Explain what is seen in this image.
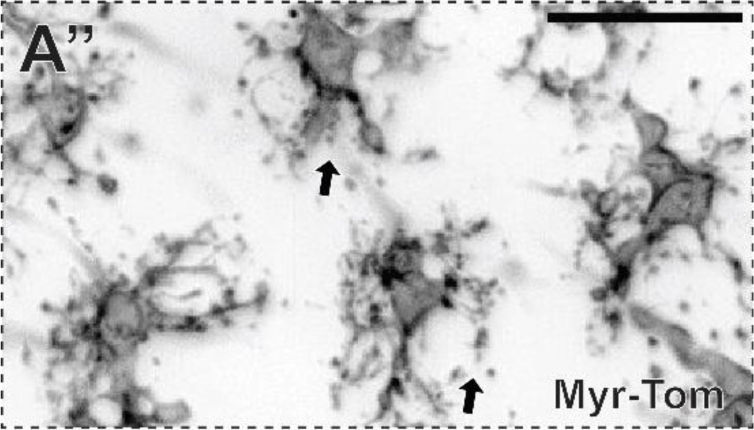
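The terminals are spaced fairly regularly across the field, with thin axon shafts entering them diagonally. Here and there a few small detached dots lie among the processes.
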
